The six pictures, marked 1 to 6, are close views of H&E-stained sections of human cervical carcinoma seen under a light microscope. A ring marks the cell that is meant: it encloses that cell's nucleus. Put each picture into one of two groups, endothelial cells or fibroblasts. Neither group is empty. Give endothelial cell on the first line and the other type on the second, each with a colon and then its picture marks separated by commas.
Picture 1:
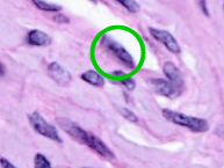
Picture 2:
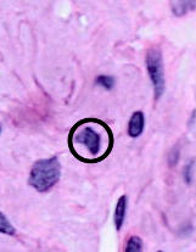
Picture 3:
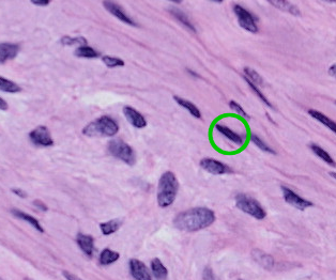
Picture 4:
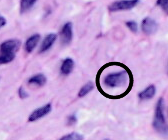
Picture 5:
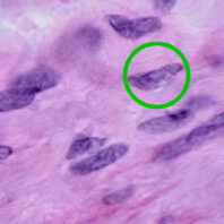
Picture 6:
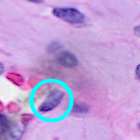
endothelial cell: 1, 6
fibroblast: 2, 3, 4, 5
